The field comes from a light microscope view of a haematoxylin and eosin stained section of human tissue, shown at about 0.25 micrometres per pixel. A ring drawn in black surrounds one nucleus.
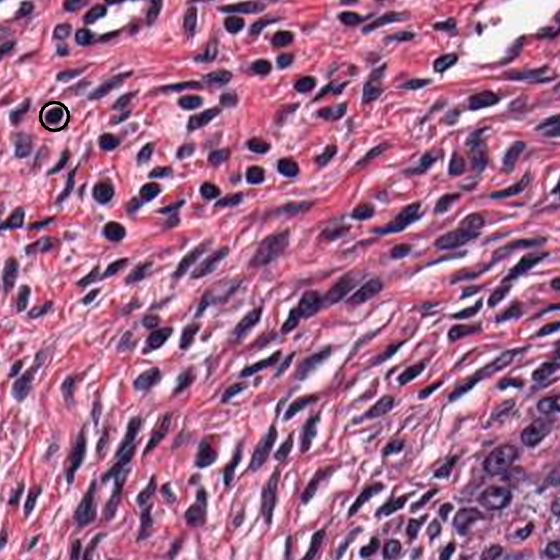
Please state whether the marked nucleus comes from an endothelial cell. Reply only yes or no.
no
